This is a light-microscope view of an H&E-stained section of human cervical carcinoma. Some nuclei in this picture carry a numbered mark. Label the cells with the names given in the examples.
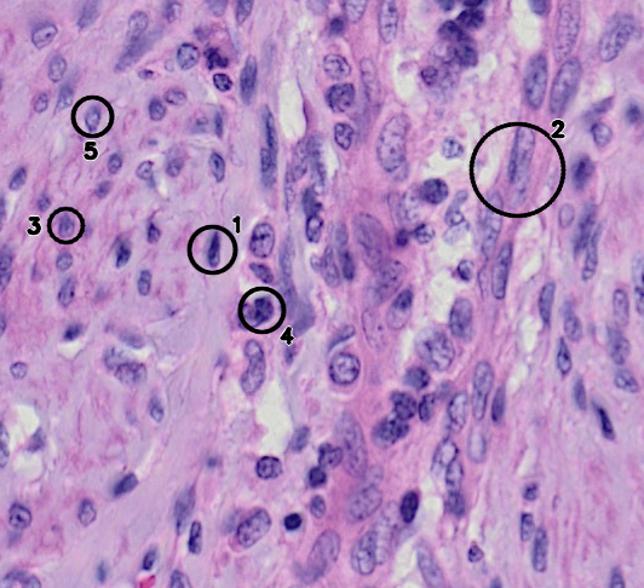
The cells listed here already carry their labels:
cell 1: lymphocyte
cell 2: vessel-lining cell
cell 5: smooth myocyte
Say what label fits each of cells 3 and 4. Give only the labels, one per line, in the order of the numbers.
smooth myocyte
lymphocyte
